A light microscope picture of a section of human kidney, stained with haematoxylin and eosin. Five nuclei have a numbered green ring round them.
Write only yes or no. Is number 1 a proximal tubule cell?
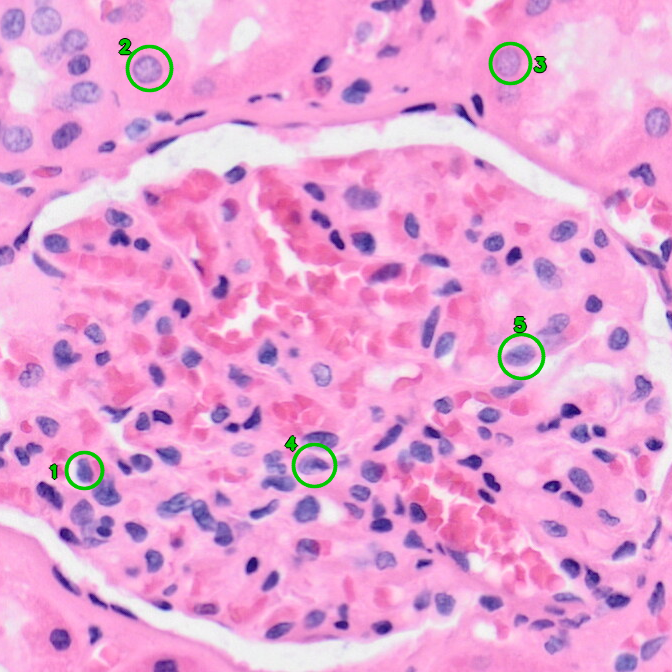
no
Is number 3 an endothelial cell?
no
